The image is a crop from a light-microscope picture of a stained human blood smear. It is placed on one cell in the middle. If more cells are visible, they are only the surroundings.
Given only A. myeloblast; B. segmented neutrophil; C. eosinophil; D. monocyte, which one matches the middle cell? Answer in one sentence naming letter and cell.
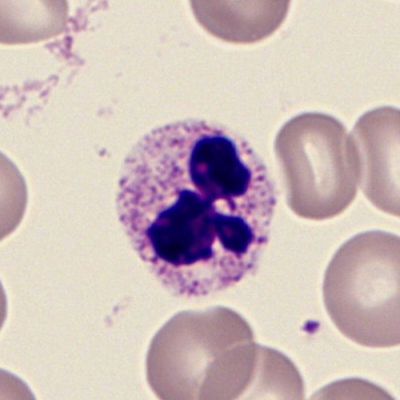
The cell in the middle is a segmented neutrophil, and that makes option B correct.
